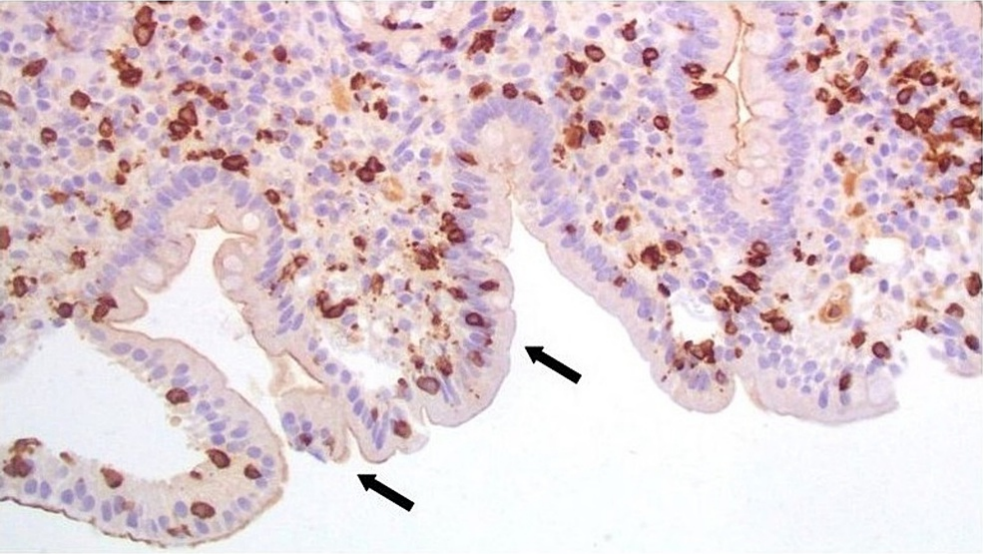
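This is small-intestinal mucosa with villi lined by a single layer of tall columnar epithelial cells whose oval nuclei sit toward the base, with pale goblet cells scattered among them. Small round cells stained brown are crowded in the lamina propria of the villus cores and also sit within the surface epithelium, wedged between the epithelial cells, including near the villus tips.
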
